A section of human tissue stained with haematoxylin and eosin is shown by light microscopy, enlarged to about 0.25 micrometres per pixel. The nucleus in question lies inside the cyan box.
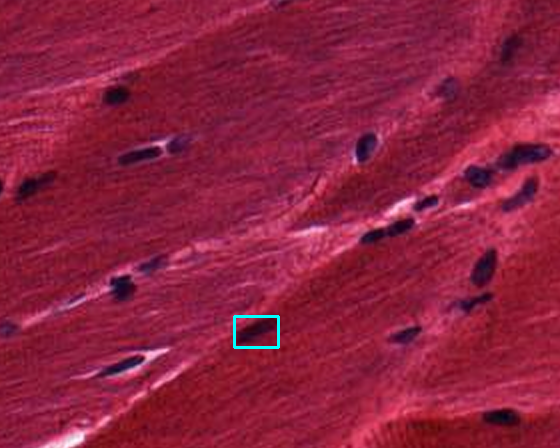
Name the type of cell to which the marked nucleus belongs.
skeletal muscle fibre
